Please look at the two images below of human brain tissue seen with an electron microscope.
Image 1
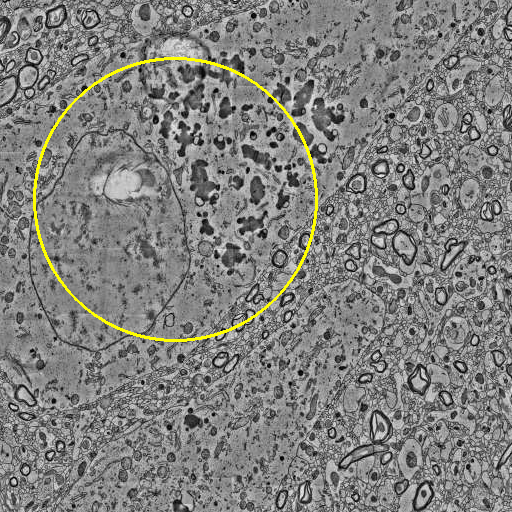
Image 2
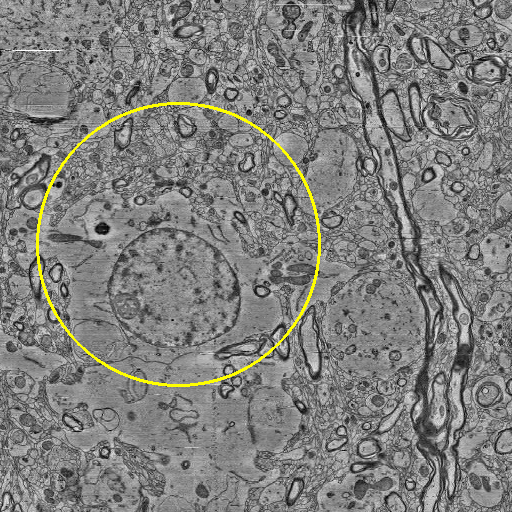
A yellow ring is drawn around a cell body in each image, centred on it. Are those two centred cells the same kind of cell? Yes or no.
no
